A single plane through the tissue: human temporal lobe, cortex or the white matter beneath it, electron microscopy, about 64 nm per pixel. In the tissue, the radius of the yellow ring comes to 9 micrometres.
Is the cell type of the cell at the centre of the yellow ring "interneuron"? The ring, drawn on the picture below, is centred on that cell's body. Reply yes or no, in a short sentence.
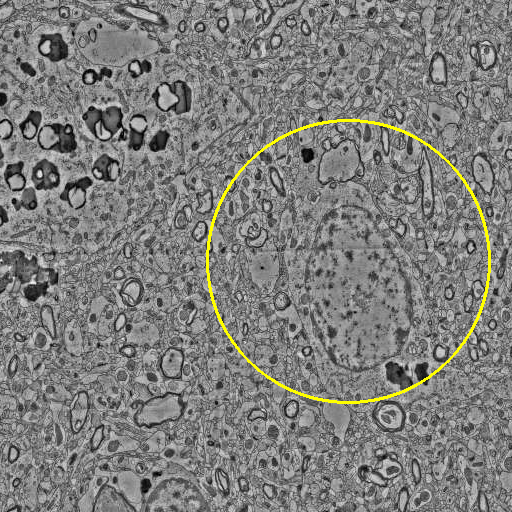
Yes, that is its cell type.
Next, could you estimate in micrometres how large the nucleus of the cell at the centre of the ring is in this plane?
Roughly 10 micrometres by 7 micrometres, in this plane.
